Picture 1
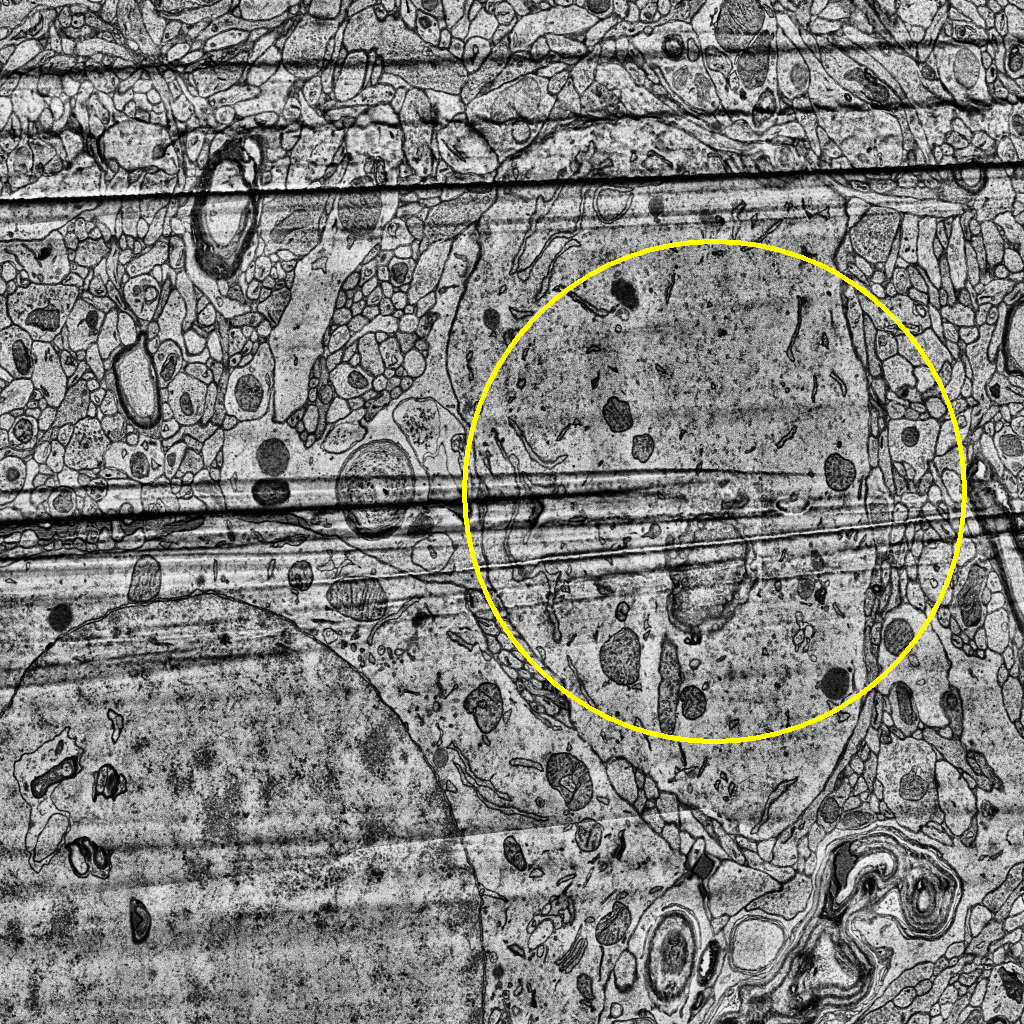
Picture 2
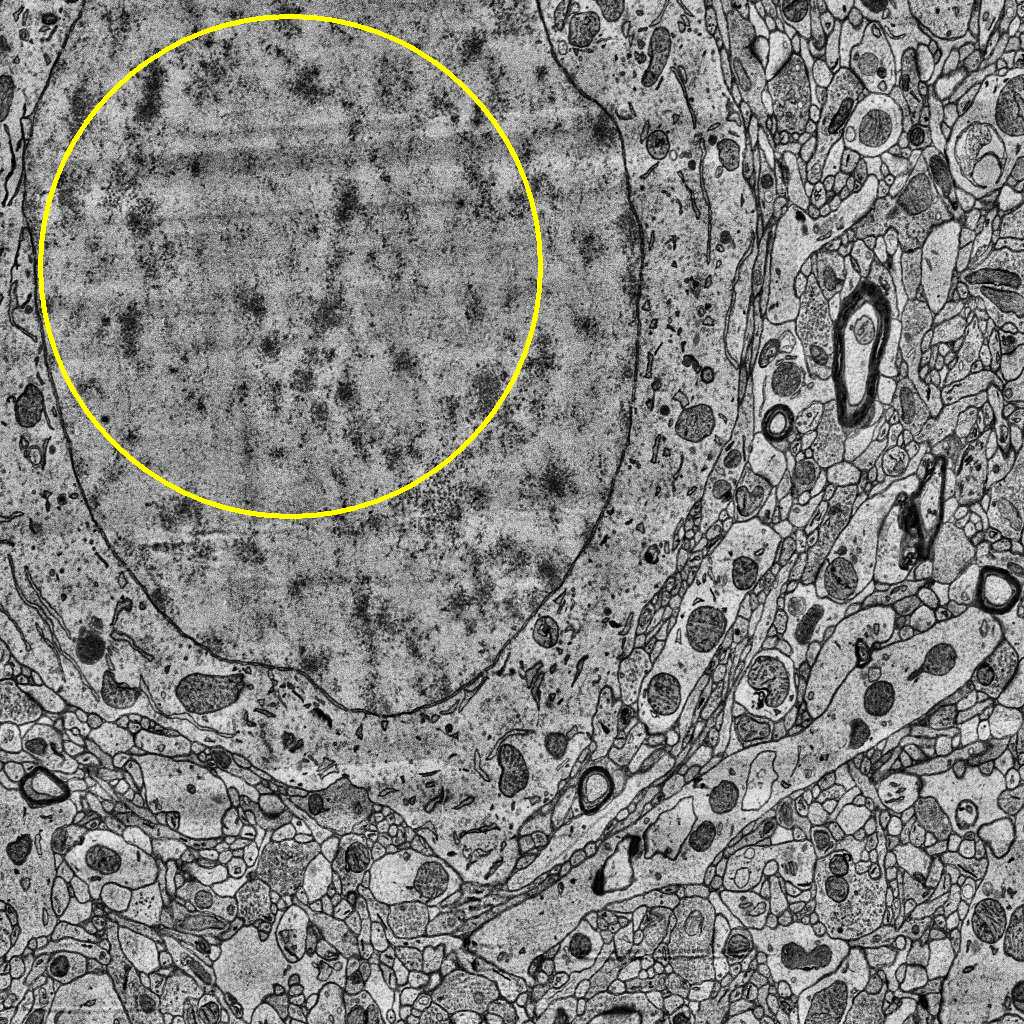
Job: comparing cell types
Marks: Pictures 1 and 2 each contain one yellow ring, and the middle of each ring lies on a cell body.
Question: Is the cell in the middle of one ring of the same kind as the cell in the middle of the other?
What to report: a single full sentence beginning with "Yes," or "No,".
Yes, the cell at the ring centre in Picture 1 and its partner in Picture 2 are of one kind.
